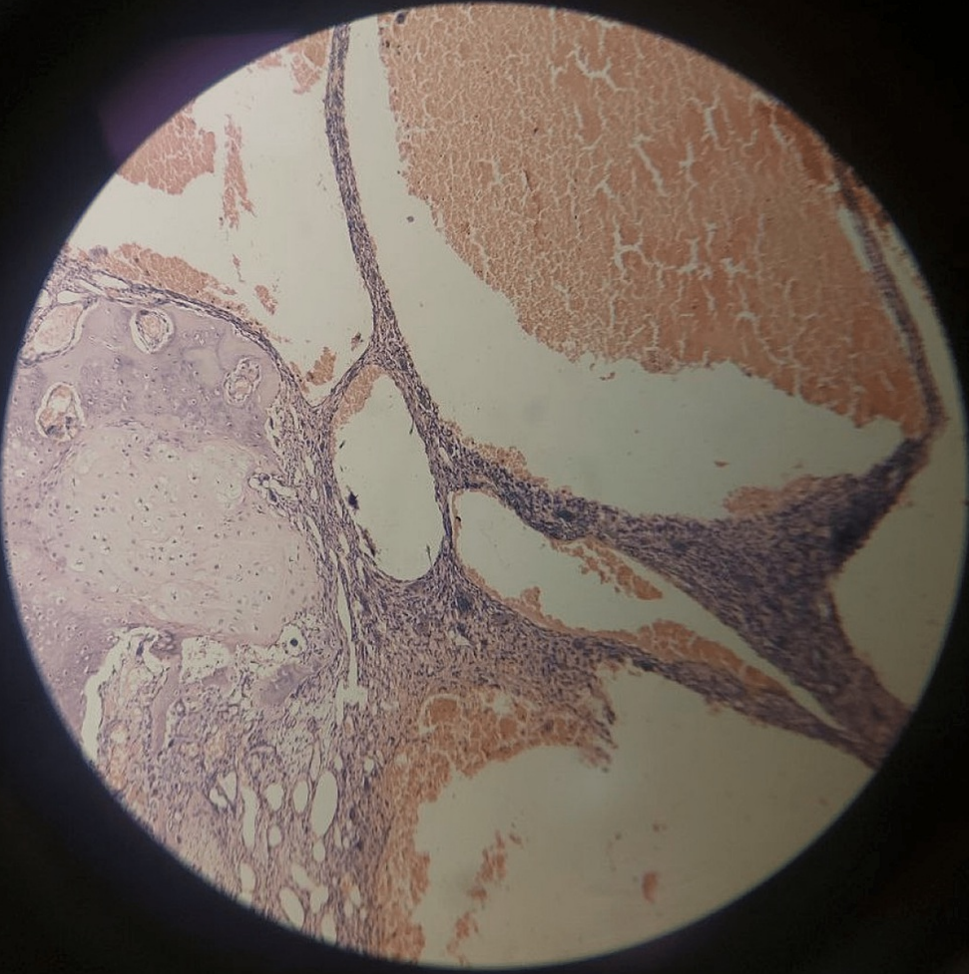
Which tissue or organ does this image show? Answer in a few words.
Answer: Bone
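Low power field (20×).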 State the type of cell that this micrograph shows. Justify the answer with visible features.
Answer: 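Fibroblasts. The septa between the blood-filled spaces are made of densely packed spindle-shaped cells. The nuclei in the septa are elongated and dark.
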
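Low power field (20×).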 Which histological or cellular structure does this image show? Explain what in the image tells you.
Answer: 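Large spaces are filled with orange-red masses of red blood cells. Thin cellular septa separate these spaces. The spaces have no epithelial lining. That points to this answer: blood-filled cystic areas.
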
